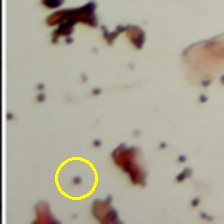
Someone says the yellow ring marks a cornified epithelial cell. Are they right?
They are not: the ring marks a leukocyte.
